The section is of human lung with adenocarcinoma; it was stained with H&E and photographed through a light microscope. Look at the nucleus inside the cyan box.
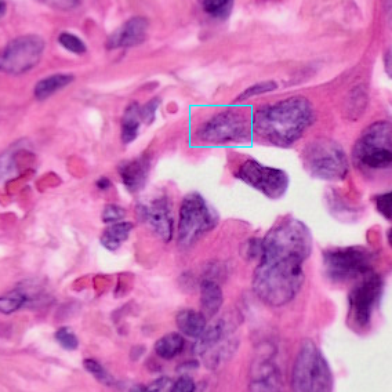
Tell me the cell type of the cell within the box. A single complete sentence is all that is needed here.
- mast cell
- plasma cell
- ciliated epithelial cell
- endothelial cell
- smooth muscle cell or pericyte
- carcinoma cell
In terms of identity, the cell within the box is a carcinoma cell.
